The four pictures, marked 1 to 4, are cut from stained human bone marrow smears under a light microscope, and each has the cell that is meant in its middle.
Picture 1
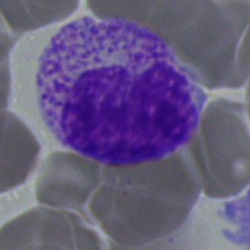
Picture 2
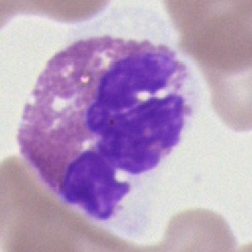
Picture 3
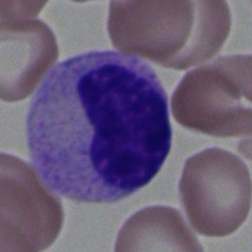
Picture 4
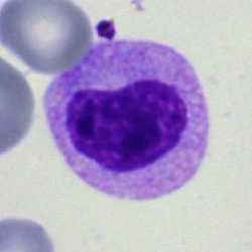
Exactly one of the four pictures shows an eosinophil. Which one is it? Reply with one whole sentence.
Picture 2 is the one that shows the eosinophil.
